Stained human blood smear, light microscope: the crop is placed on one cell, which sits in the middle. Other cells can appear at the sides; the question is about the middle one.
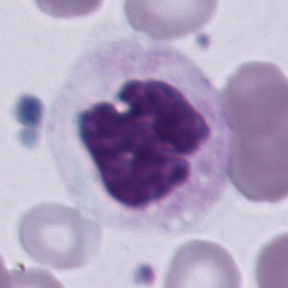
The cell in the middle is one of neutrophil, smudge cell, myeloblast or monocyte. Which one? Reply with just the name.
neutrophil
